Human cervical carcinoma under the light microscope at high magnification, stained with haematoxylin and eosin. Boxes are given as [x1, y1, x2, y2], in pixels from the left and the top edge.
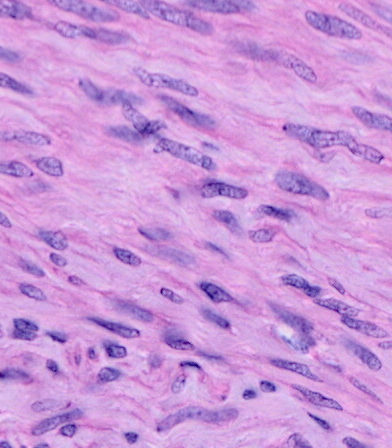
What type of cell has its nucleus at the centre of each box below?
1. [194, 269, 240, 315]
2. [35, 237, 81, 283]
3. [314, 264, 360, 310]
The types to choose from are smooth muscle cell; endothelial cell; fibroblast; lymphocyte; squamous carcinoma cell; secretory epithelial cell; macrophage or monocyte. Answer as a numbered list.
1. fibroblast
2. smooth muscle cell
3. smooth muscle cell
